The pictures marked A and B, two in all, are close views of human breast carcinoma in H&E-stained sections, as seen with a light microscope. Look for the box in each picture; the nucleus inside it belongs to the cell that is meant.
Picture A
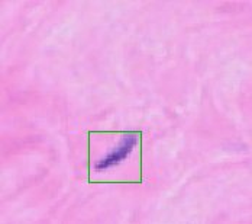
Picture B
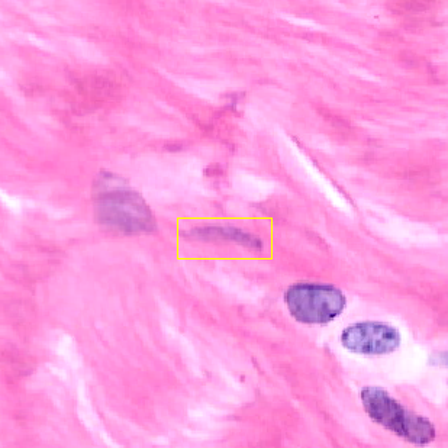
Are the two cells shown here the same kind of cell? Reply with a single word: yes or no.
yes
